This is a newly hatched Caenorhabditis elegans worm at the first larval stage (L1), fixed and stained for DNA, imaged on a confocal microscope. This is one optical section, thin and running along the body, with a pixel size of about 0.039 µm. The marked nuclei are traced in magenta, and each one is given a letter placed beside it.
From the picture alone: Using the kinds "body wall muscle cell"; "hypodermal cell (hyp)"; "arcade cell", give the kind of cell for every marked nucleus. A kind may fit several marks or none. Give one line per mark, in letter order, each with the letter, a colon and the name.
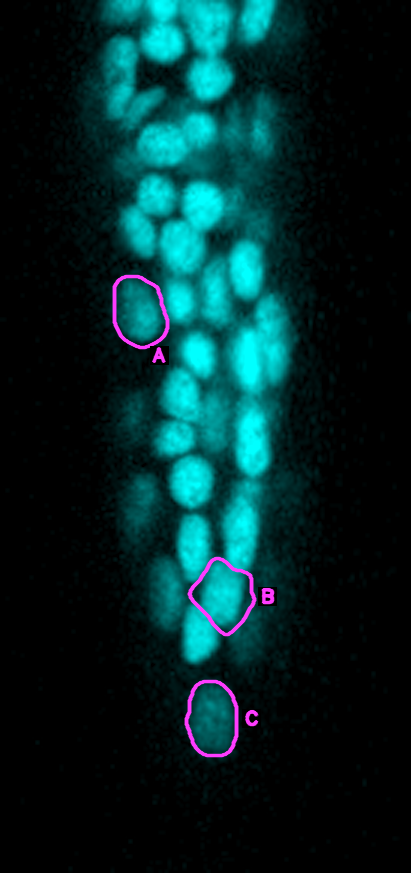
A: body wall muscle cell
B: arcade cell
C: hypodermal cell (hyp)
